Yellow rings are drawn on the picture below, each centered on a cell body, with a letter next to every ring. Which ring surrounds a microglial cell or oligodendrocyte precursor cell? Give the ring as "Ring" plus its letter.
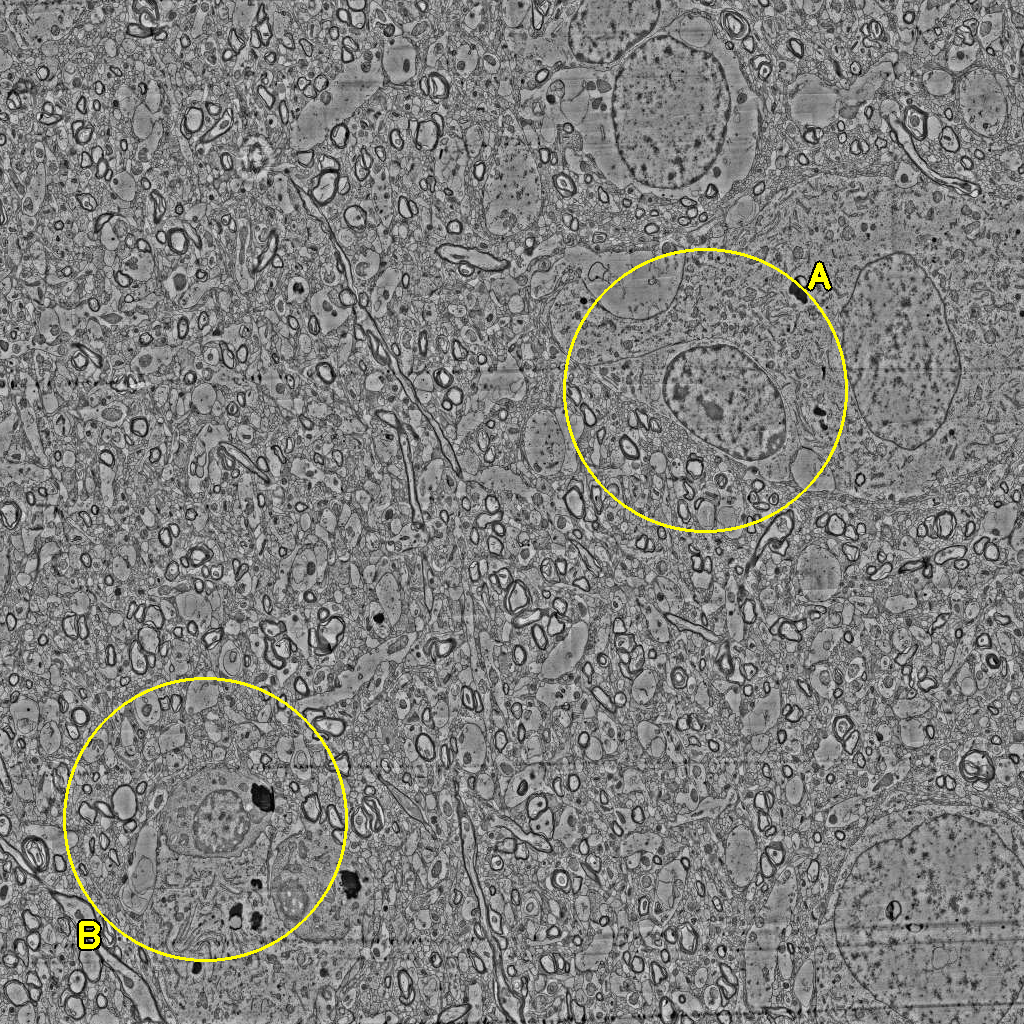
Ring A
